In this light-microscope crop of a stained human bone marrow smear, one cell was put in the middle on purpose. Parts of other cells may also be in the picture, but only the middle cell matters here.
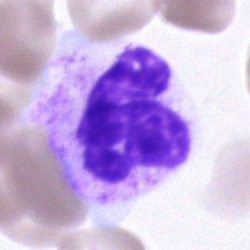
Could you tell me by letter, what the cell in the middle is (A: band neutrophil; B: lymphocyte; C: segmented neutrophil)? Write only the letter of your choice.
C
